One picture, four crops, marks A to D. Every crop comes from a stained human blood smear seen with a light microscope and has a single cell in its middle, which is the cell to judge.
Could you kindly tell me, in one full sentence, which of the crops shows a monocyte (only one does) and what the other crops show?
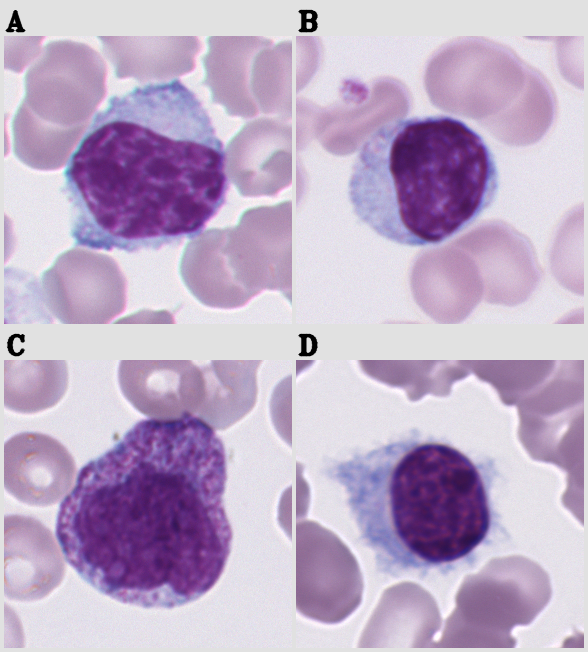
To sum up, crop A shows a monocyte, while crop B is a typical lymphocyte, crop C is an atypical promyelocyte and crop D is a hairy cell.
